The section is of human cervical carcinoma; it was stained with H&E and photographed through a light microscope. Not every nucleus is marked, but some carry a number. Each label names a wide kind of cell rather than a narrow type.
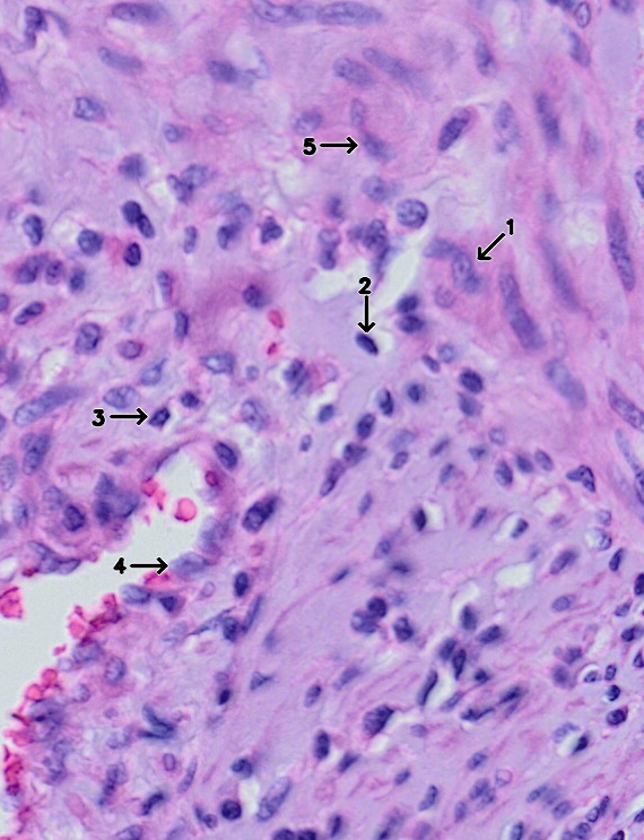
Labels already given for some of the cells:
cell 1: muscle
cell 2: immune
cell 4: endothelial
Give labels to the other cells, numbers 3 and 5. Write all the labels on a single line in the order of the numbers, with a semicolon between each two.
immune; muscle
